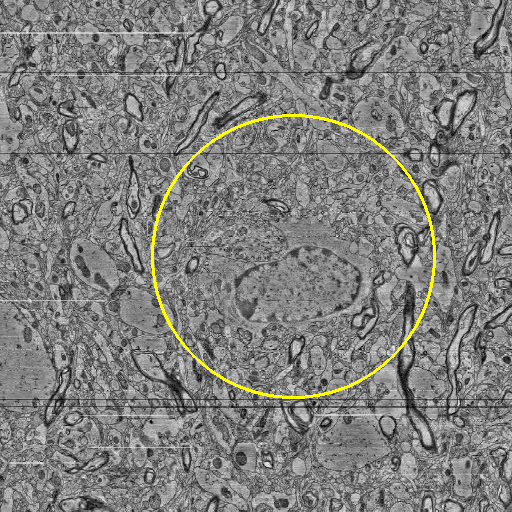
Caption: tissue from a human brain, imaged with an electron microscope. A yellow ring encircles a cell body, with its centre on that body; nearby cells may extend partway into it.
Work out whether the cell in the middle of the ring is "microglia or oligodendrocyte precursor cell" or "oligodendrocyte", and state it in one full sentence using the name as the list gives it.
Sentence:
In the picture, the cell that the yellow ring surrounds at its centre is a microglial cell or oligodendrocyte precursor cell.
